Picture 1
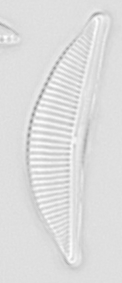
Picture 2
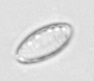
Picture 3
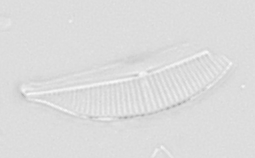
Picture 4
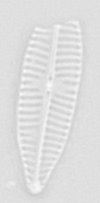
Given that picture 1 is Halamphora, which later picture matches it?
3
